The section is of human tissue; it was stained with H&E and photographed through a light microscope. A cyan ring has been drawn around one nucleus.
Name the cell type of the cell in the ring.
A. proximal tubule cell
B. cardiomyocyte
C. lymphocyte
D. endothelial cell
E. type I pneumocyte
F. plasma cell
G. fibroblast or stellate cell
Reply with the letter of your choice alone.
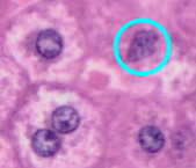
G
